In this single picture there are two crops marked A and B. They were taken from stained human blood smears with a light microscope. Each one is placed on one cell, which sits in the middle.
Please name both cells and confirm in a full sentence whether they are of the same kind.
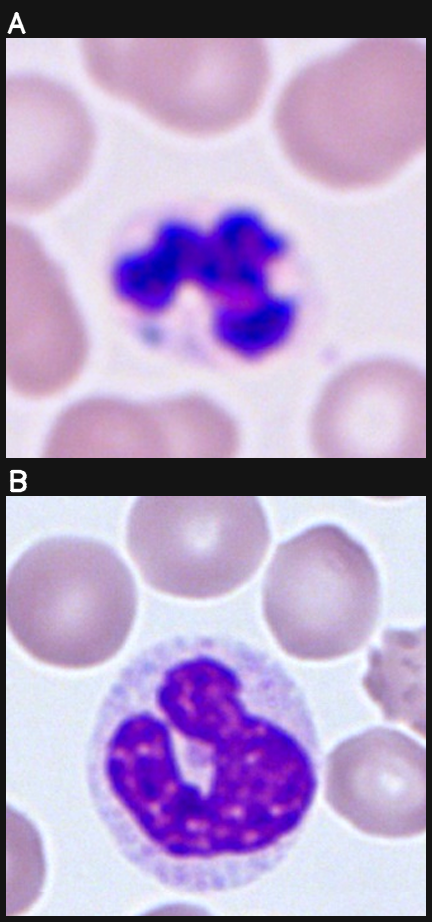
Yes, neutrophils are depicted in both crops.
